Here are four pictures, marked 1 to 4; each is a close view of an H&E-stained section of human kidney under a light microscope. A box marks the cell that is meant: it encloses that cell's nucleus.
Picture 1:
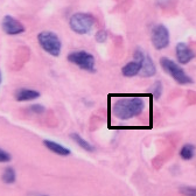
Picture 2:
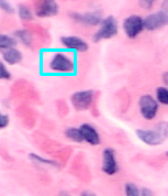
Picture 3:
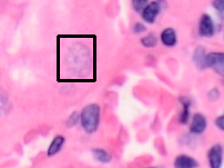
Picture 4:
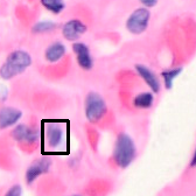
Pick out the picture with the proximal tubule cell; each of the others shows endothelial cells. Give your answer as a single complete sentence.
The proximal tubule cell is the one in picture 3.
